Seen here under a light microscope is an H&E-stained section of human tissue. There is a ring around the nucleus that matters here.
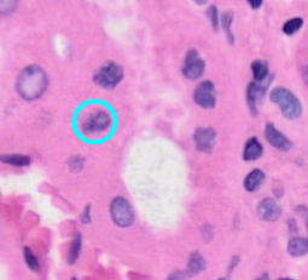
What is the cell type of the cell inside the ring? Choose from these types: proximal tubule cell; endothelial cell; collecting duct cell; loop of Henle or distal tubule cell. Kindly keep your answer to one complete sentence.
Assigned to a cell type, the cell inside the ring is a loop of Henle or distal tubule cell.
